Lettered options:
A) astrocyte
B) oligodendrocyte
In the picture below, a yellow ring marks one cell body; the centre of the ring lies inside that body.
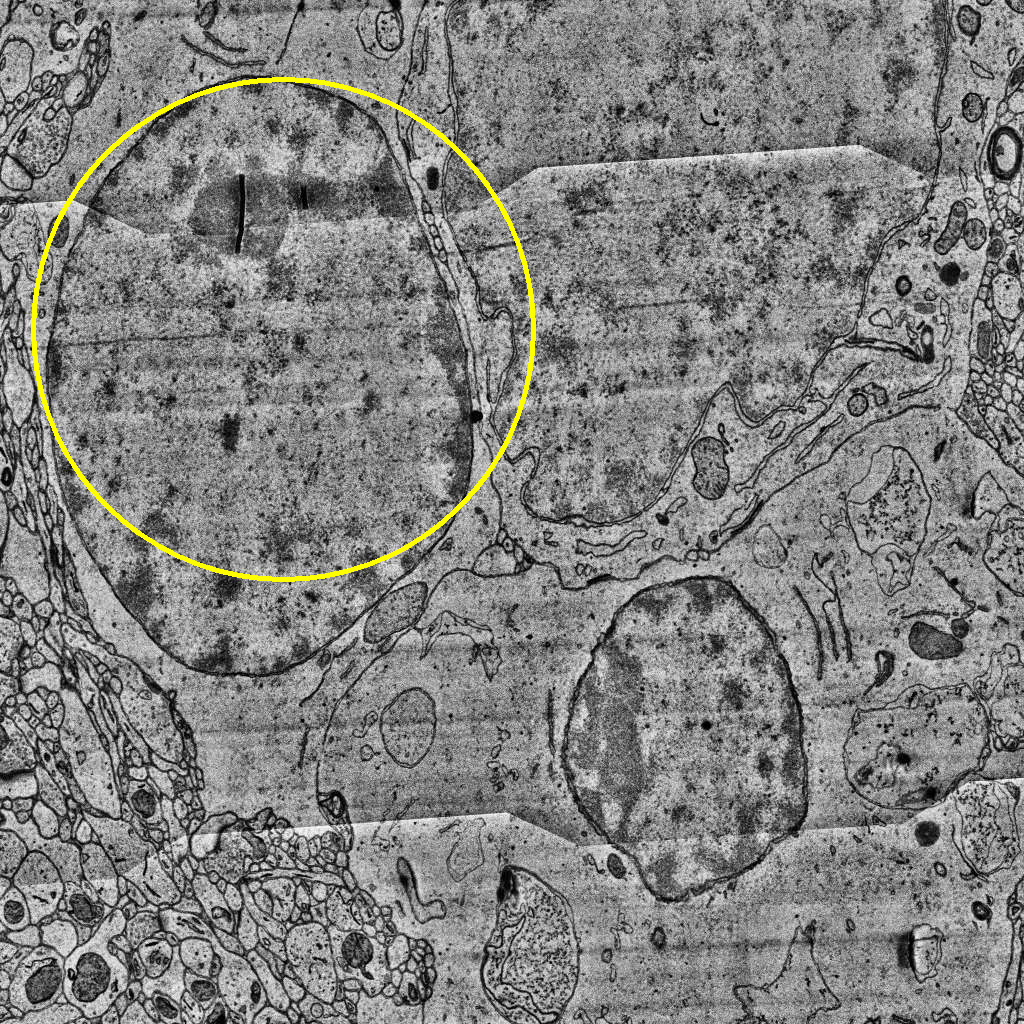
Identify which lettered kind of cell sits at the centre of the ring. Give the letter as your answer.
A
